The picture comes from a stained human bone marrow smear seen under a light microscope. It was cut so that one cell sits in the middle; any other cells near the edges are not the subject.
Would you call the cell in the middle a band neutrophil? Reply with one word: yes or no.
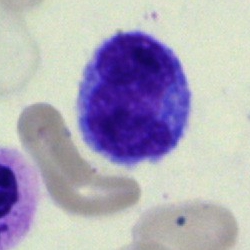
no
